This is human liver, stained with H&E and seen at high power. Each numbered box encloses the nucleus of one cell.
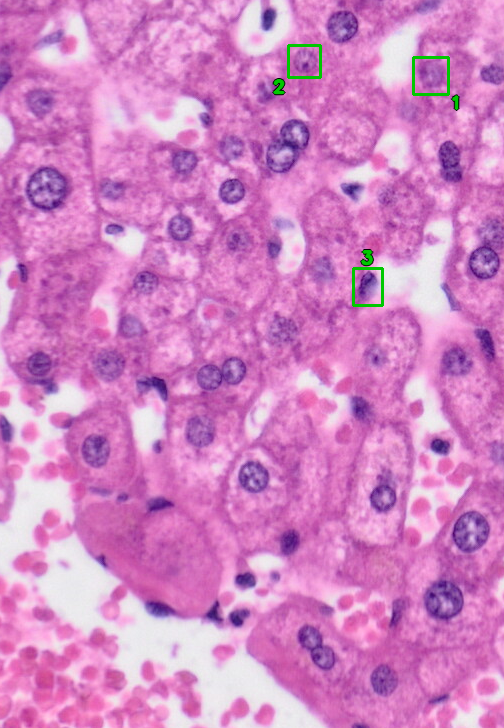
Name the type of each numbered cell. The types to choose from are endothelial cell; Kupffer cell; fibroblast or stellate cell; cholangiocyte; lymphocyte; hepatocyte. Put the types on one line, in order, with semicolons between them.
hepatocyte; hepatocyte; endothelial cell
